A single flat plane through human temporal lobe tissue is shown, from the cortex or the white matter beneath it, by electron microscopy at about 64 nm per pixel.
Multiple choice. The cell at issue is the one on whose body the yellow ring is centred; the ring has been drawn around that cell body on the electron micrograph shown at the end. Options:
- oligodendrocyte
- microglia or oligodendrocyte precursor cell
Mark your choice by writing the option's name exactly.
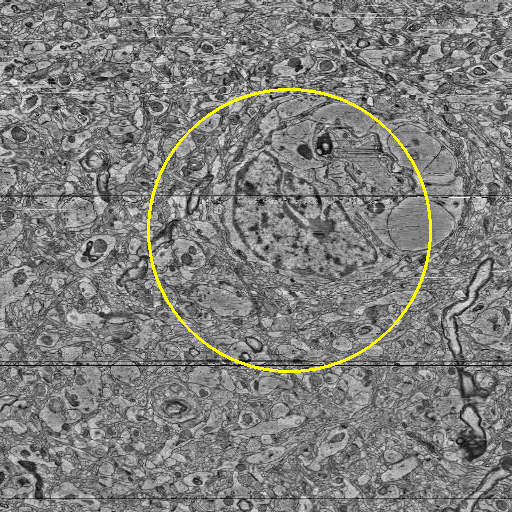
microglia or oligodendrocyte precursor cell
